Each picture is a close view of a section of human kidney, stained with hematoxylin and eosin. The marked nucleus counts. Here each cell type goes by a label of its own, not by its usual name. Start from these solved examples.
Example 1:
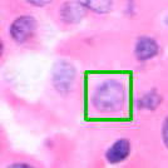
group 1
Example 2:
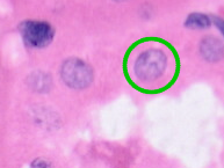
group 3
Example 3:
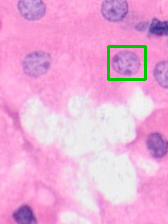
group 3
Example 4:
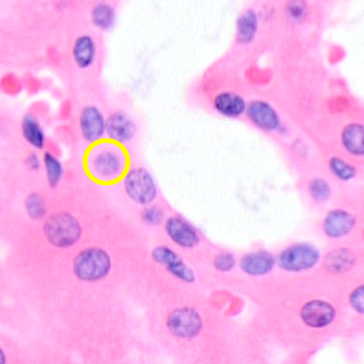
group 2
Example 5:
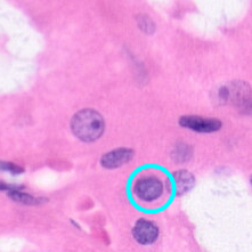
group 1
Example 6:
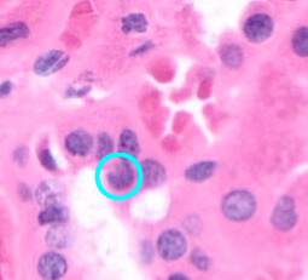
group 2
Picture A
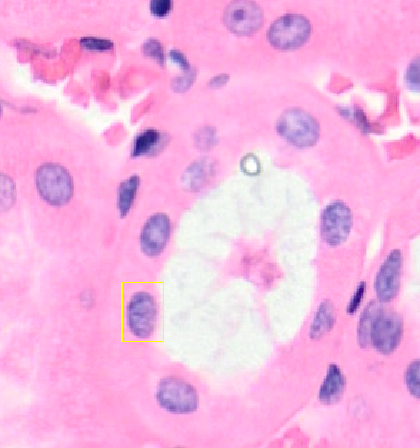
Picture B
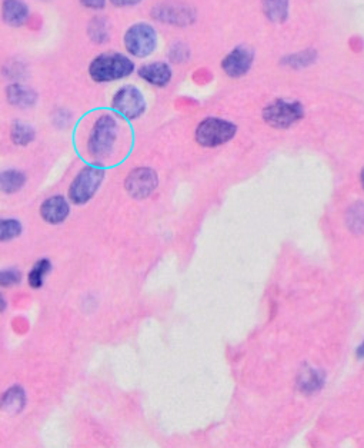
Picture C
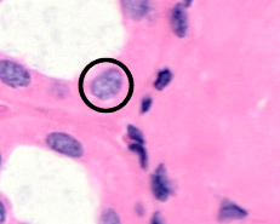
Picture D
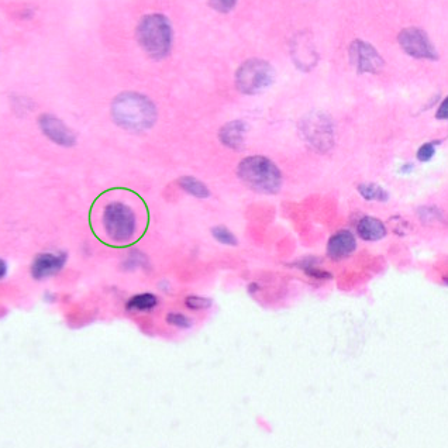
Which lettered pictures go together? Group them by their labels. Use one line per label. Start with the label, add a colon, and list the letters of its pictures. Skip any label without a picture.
group 1: A, C
group 3: D
group 2: B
